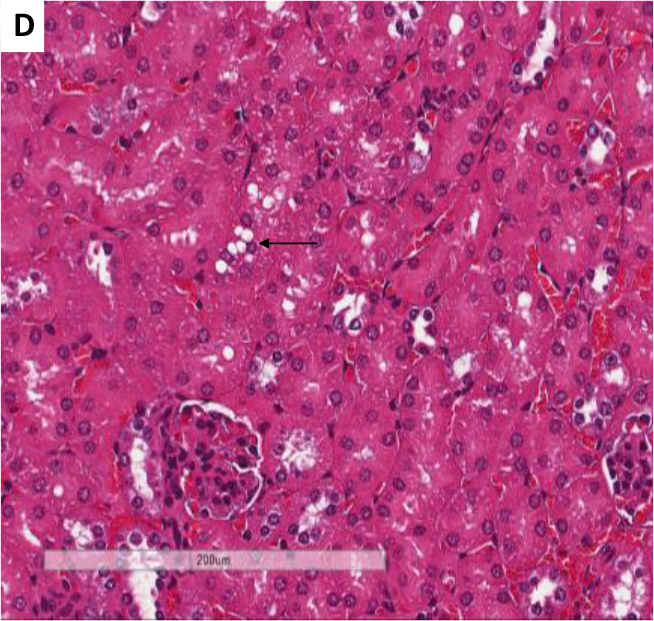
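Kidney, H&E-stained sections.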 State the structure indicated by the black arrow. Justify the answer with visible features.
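The arrow points at a cluster of small round clear droplets. The droplets sit within pink-staining tubular tissue. That points to this answer: lipid.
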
